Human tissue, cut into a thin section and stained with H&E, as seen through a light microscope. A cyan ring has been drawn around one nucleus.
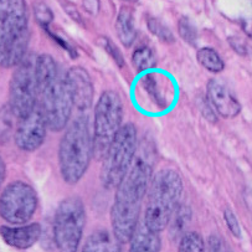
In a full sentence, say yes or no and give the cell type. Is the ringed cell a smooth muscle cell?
No, judged by cell type, the ringed cell is a fibroblast, not a smooth muscle cell.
